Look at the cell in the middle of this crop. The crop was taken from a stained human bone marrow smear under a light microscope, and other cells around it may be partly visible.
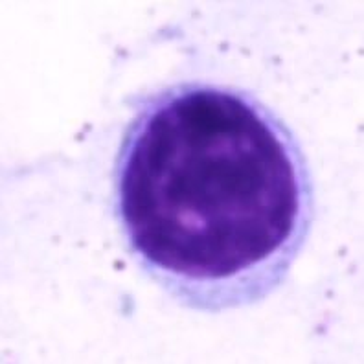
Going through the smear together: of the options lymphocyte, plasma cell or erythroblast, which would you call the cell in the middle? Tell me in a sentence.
Here the centrally located cell is a lymphocyte.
